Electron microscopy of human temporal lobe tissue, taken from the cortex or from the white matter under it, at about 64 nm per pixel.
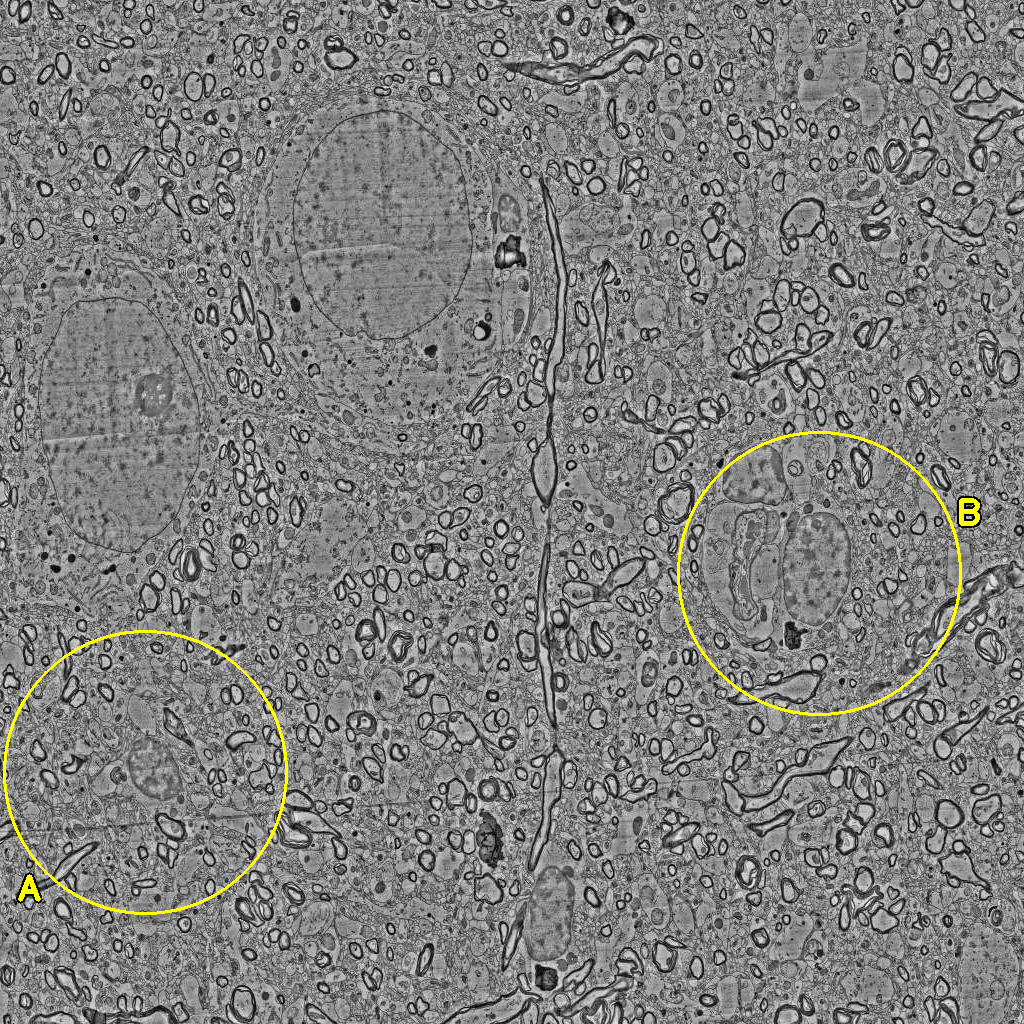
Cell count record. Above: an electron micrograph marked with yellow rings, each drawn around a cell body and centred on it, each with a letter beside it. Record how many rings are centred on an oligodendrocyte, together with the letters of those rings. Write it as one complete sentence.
Each of the rings lettered A and B is centred on an oligodendrocyte, making two such rings.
